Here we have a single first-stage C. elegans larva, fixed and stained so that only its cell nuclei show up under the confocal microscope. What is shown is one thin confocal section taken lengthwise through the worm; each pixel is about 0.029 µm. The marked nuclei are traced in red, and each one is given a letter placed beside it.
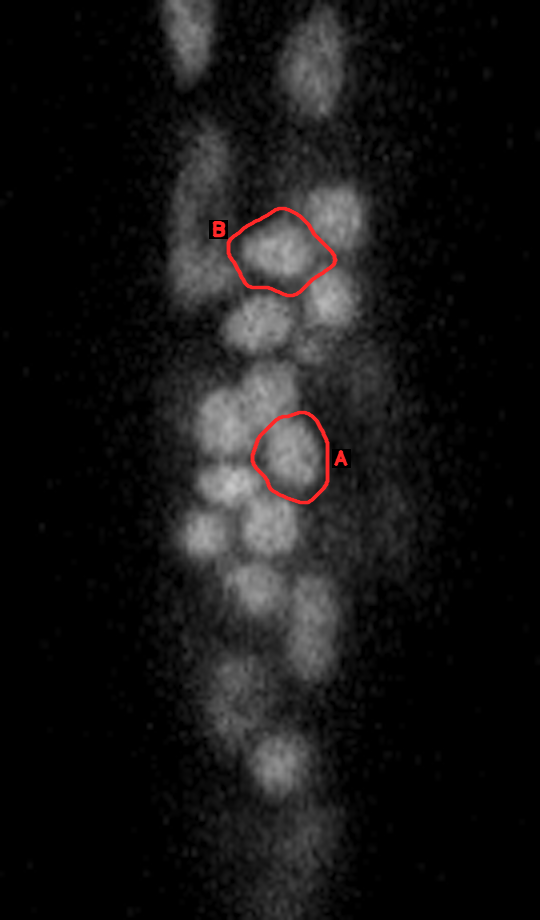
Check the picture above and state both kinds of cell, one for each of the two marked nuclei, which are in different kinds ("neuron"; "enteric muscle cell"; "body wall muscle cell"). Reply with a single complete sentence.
A is in a neuron and B is in an enteric muscle cell.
